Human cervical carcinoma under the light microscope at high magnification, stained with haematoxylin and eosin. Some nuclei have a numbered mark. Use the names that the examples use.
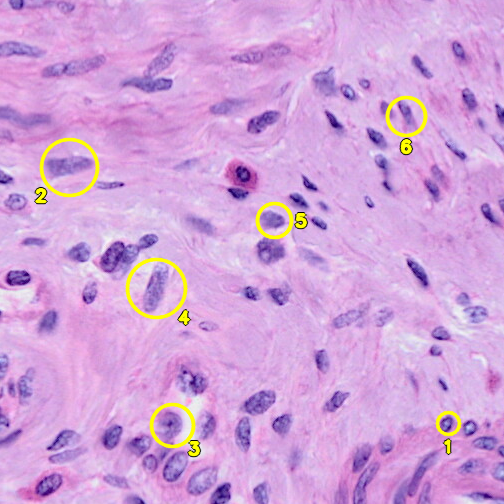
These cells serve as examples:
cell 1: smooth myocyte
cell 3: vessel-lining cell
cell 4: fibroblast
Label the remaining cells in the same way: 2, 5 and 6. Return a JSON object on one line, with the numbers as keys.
{"2": "fibroblast", "5": "fibroblast", "6": "smooth myocyte"}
